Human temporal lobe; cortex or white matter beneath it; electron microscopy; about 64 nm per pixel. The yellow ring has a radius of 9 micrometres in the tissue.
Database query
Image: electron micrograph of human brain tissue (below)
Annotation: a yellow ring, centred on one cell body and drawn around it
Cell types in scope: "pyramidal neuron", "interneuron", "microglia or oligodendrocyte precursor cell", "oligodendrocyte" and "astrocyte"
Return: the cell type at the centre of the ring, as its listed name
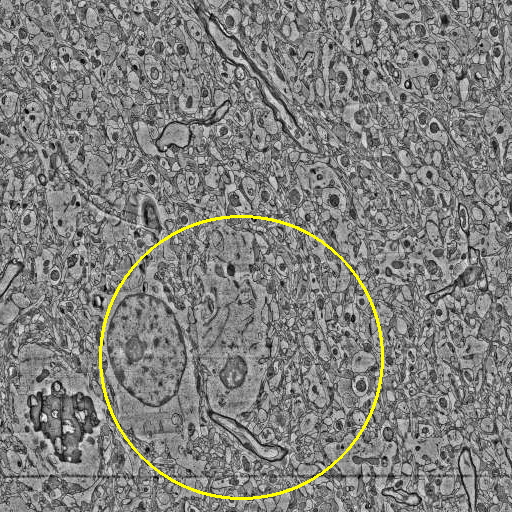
astrocyte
